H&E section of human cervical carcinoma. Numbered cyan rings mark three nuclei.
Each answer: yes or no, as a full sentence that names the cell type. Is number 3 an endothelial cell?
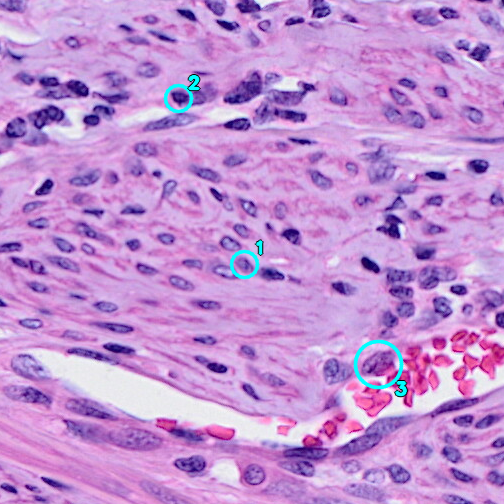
Yes, for number 3, the cell is an endothelial cell.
